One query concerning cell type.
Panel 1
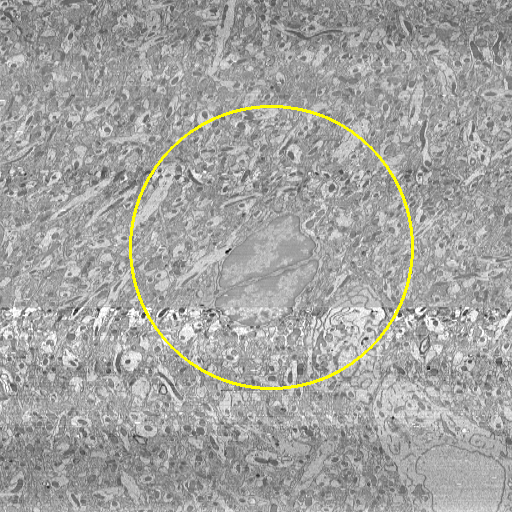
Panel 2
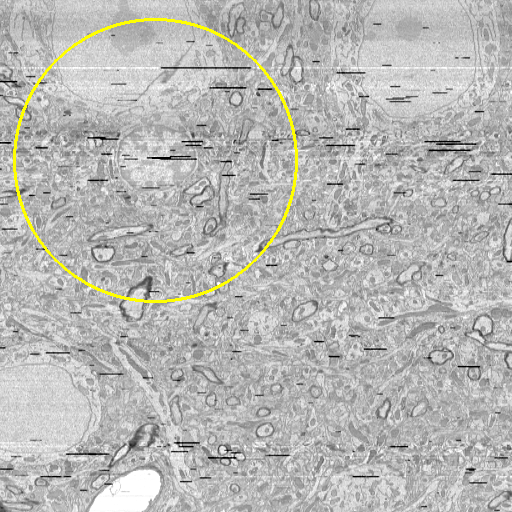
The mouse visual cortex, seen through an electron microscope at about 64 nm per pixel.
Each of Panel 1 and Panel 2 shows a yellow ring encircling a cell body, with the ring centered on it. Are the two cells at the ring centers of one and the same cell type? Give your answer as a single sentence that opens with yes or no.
No, the cell centered in Panel 1 and the one in Panel 2 are of two types.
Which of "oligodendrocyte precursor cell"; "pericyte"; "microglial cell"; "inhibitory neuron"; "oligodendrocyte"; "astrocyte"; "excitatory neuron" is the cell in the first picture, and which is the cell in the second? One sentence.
The two differ: the first cell is a microglial cell and the second is an oligodendrocyte.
